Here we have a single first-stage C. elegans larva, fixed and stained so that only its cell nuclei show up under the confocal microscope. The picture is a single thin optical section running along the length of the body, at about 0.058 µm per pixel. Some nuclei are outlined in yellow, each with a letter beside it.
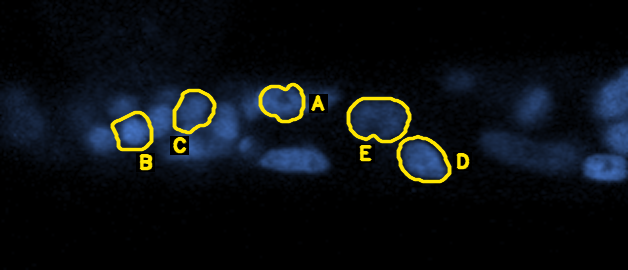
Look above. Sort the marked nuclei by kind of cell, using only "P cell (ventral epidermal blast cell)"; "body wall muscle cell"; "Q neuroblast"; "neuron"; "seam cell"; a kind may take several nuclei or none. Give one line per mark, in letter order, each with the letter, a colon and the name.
A: P cell (ventral epidermal blast cell)
B: neuron
C: neuron
D: body wall muscle cell
E: seam cell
